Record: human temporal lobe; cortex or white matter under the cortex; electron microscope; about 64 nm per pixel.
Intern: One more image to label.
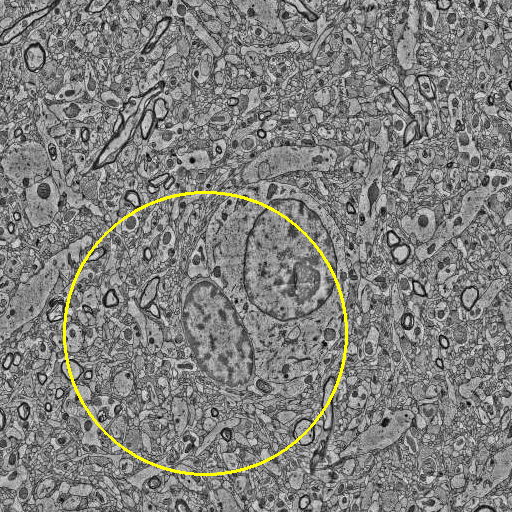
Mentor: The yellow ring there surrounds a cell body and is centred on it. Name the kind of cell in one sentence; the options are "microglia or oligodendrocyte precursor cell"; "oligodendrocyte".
The ring marks the cell body of an oligodendrocyte.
